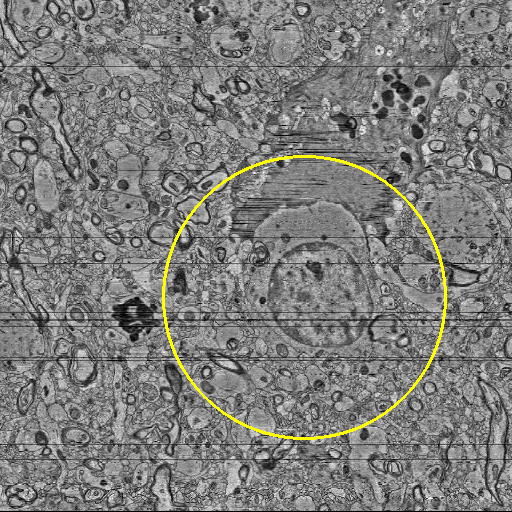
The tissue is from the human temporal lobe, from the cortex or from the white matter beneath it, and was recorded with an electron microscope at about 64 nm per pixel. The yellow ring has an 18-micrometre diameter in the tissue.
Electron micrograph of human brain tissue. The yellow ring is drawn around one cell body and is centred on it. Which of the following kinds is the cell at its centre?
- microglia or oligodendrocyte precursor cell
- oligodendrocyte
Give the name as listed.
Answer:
oligodendrocyte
